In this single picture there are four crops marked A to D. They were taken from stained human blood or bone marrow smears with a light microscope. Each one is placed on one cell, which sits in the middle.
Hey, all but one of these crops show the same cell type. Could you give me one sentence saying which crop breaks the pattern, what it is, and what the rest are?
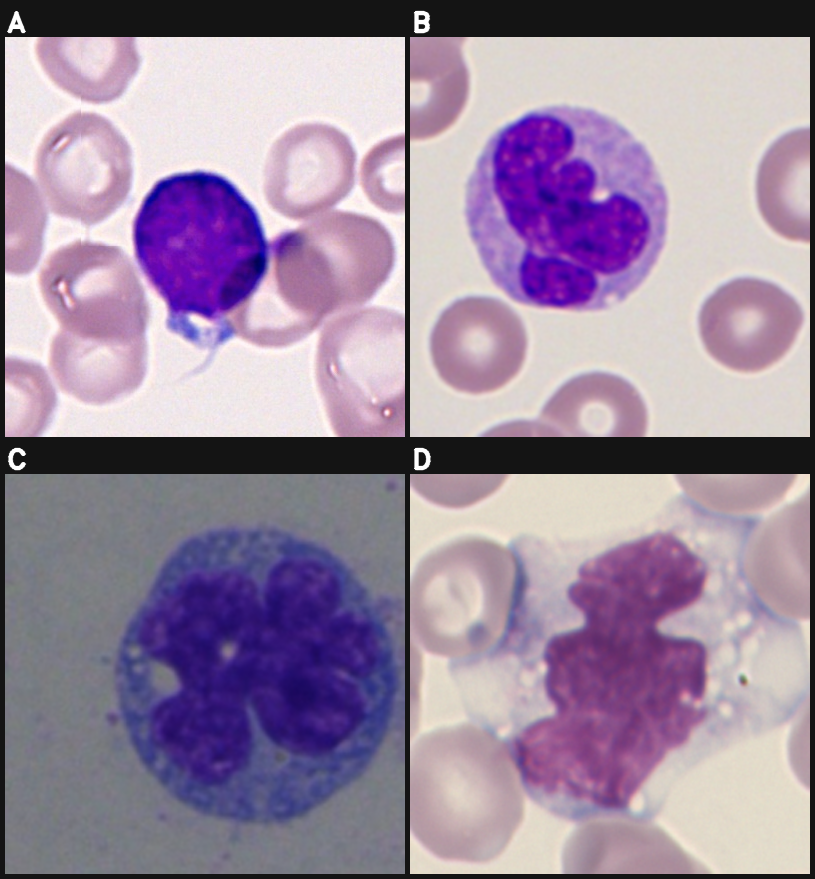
The pattern of monocytes across the crops is broken only by crop A, which shows a blast.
